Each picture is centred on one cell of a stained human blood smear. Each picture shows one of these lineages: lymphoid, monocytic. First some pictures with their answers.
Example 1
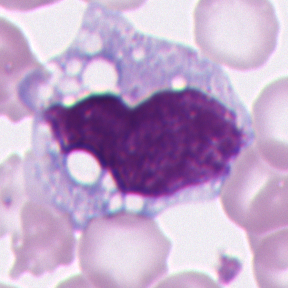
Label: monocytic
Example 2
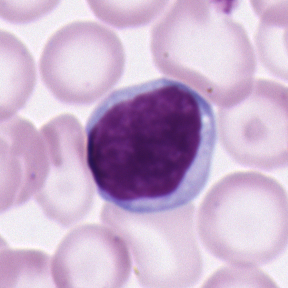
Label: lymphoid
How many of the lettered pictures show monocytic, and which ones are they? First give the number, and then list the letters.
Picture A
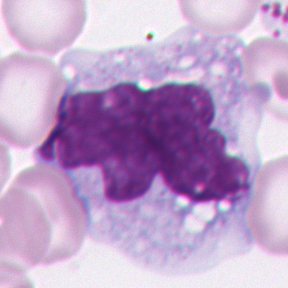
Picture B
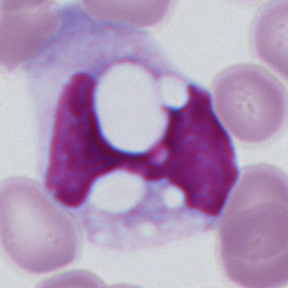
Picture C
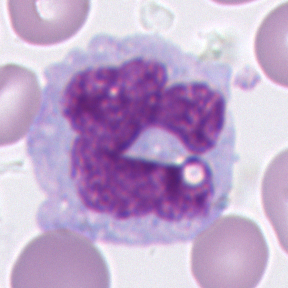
3: A, B, C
